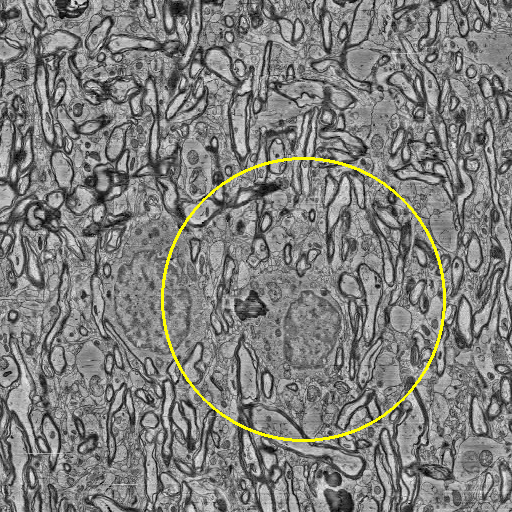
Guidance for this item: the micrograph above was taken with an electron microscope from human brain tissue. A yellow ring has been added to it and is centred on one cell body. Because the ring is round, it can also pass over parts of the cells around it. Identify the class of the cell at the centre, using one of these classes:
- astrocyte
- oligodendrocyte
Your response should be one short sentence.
The ring surrounds the body of an oligodendrocyte.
